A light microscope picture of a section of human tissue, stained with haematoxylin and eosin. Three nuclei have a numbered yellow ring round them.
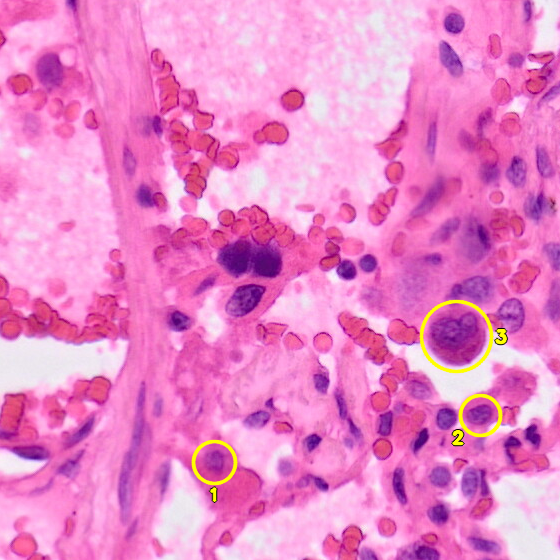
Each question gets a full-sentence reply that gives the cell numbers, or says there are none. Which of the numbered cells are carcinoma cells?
Only one marked cell, number 3, is a carcinoma cell.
